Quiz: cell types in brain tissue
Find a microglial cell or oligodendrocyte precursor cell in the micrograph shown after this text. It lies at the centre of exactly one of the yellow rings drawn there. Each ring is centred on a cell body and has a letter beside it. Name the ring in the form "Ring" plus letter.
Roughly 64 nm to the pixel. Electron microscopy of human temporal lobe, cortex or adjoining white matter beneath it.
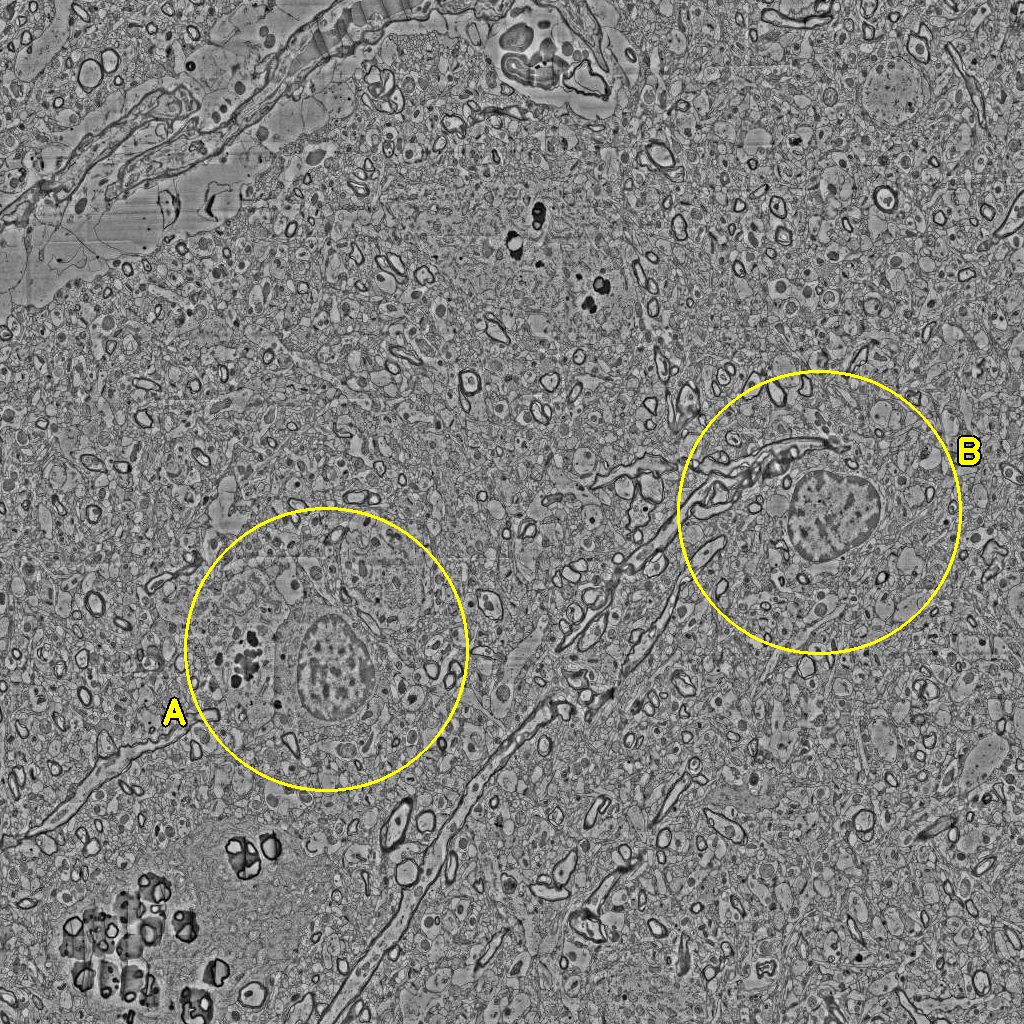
Ring B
